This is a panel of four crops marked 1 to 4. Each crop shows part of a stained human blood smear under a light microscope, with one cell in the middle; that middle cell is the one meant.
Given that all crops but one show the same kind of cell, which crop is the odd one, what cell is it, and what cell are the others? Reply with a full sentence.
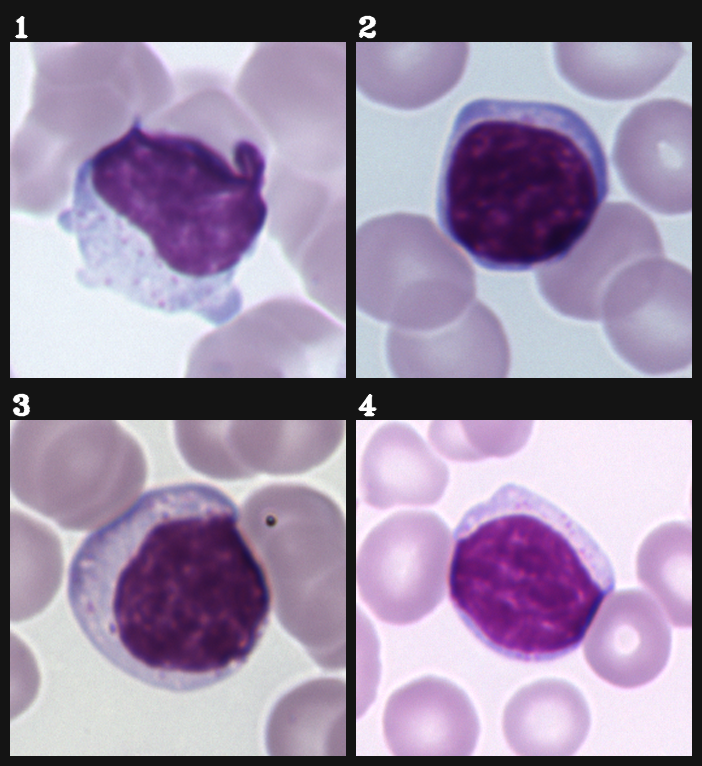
Crop 2 breaks the pattern with a typical lymphocyte; all the others show large granular lymphocytes.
